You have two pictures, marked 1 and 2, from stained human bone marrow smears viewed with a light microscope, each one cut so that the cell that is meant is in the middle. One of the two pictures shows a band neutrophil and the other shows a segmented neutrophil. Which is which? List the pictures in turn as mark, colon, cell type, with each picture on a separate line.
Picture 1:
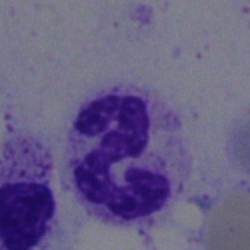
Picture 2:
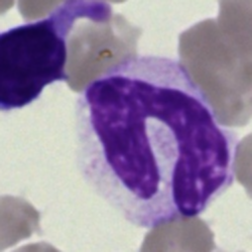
1: segmented neutrophil
2: band neutrophil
